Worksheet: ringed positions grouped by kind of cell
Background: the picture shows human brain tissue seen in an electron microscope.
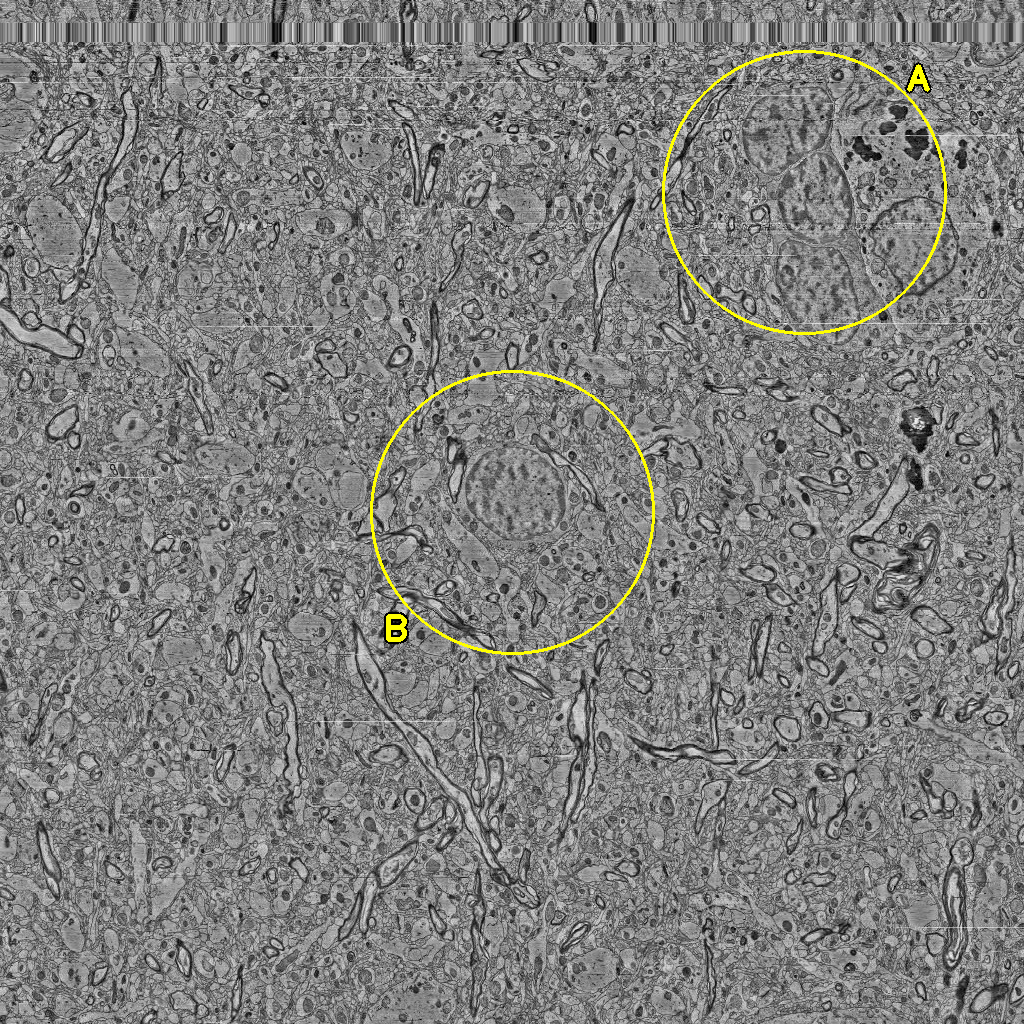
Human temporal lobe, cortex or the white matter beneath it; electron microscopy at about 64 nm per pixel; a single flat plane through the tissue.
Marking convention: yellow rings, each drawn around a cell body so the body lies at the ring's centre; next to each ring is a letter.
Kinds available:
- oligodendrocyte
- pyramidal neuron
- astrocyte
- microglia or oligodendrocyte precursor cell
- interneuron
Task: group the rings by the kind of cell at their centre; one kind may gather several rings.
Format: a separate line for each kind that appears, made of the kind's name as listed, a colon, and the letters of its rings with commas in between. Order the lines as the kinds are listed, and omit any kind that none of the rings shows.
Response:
oligodendrocyte: A, B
